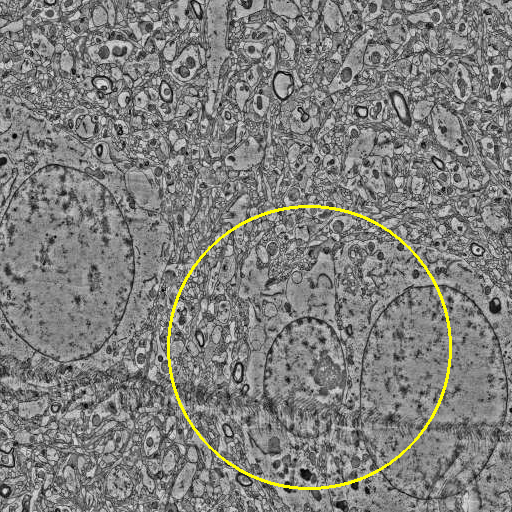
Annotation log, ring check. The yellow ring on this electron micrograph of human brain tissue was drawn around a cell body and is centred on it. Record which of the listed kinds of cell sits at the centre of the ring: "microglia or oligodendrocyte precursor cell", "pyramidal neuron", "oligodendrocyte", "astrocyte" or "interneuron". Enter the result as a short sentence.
The cell at the centre of the ring is an astrocyte.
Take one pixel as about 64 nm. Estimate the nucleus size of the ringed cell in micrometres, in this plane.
The nucleus is approximately 8 micrometers long by 5 micrometers wide in this plane.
